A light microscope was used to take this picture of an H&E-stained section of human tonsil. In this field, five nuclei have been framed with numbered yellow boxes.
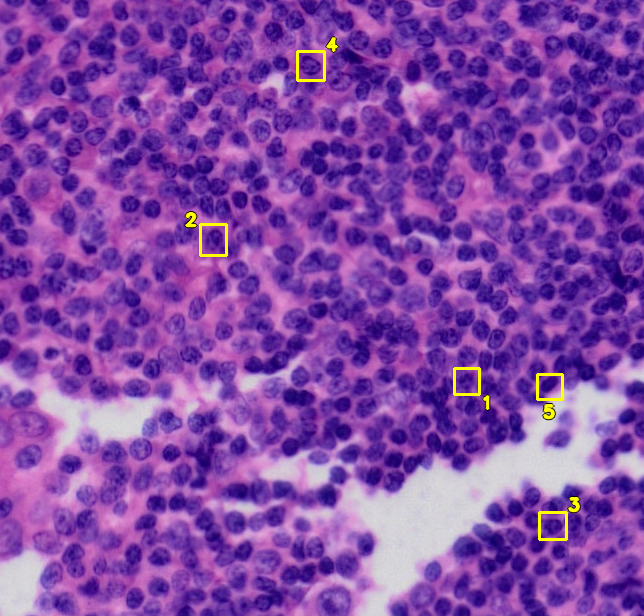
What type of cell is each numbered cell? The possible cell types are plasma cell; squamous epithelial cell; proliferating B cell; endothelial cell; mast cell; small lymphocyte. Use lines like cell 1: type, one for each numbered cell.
cell 1: small lymphocyte
cell 2: plasma cell
cell 3: small lymphocyte
cell 4: plasma cell
cell 5: small lymphocyte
